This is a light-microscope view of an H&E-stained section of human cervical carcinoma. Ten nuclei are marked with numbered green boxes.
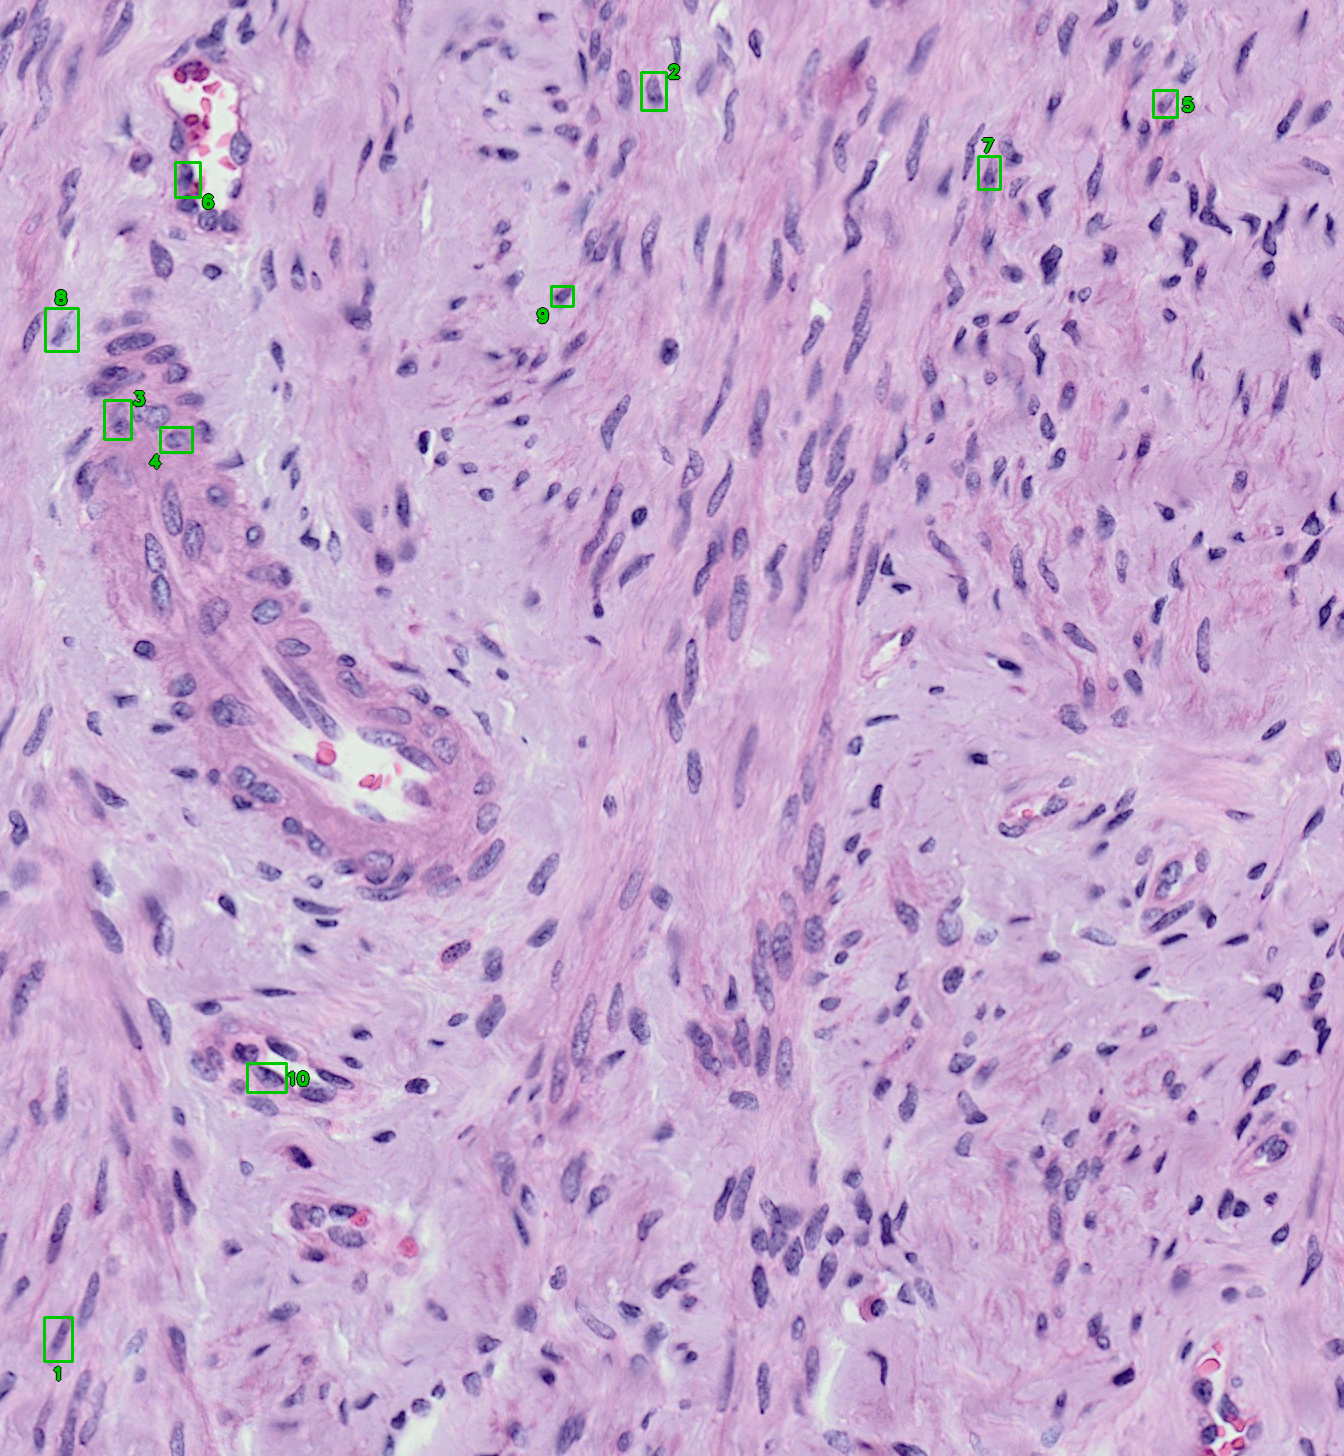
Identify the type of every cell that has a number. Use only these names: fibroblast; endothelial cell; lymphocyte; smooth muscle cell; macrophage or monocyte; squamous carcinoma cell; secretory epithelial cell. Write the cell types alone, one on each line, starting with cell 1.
smooth muscle cell
fibroblast
smooth muscle cell
smooth muscle cell
smooth muscle cell
endothelial cell
smooth muscle cell
fibroblast
smooth muscle cell
endothelial cell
